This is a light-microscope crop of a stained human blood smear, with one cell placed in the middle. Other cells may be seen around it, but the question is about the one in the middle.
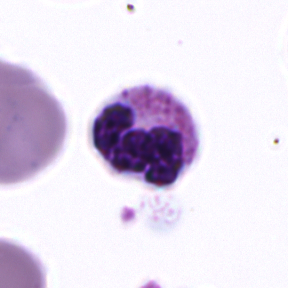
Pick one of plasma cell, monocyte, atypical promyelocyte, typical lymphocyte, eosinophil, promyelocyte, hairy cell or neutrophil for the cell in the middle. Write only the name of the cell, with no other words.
eosinophil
